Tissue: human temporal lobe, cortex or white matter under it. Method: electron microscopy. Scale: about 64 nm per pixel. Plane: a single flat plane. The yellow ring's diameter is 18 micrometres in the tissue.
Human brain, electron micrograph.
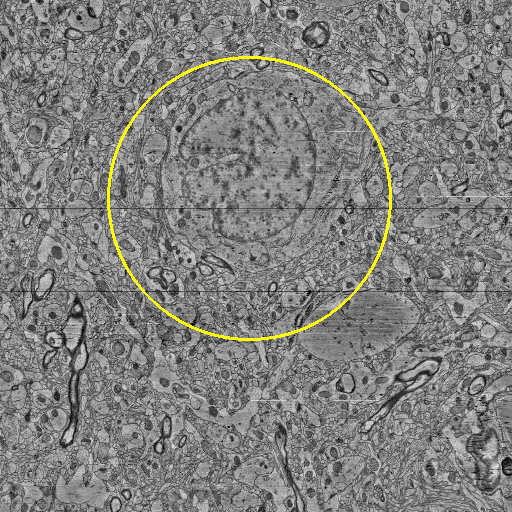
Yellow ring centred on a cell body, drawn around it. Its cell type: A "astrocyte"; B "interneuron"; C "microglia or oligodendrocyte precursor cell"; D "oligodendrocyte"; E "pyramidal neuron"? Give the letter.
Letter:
B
